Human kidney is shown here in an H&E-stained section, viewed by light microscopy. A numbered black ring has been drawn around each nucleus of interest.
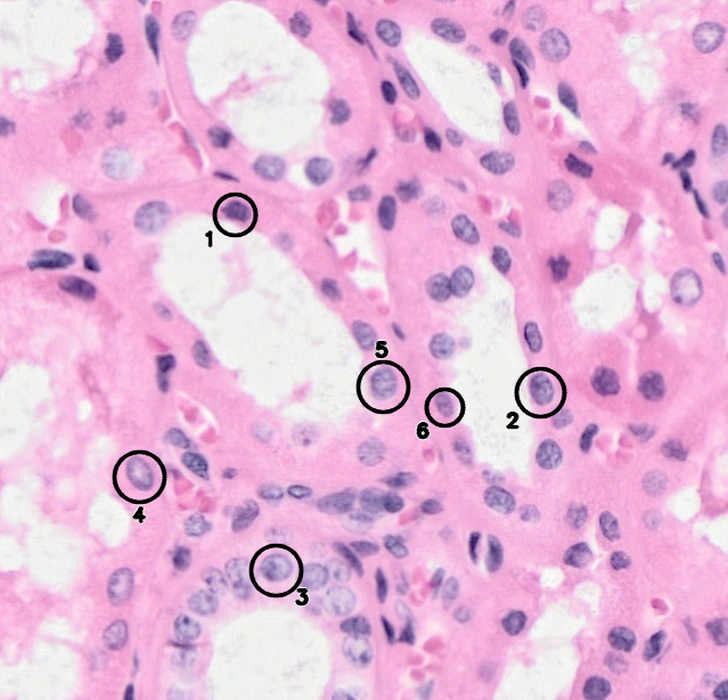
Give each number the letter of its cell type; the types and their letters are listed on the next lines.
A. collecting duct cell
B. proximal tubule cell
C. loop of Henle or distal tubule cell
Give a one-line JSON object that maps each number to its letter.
{"1": "C", "2": "C", "3": "A", "4": "B", "5": "C", "6": "C"}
